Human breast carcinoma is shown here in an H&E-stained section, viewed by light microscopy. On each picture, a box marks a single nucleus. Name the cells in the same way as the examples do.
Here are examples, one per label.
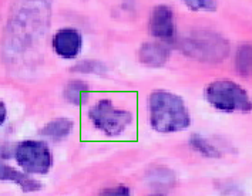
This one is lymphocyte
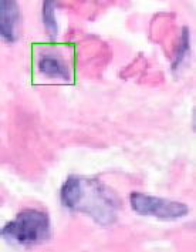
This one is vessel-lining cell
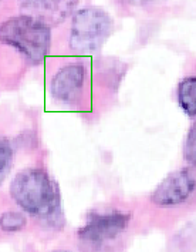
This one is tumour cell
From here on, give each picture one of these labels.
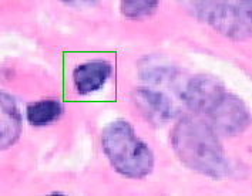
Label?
lymphocyte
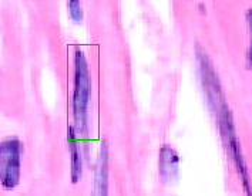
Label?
vessel-lining cell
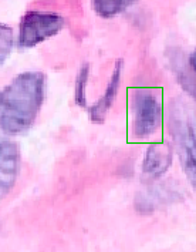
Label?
vessel-lining cell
